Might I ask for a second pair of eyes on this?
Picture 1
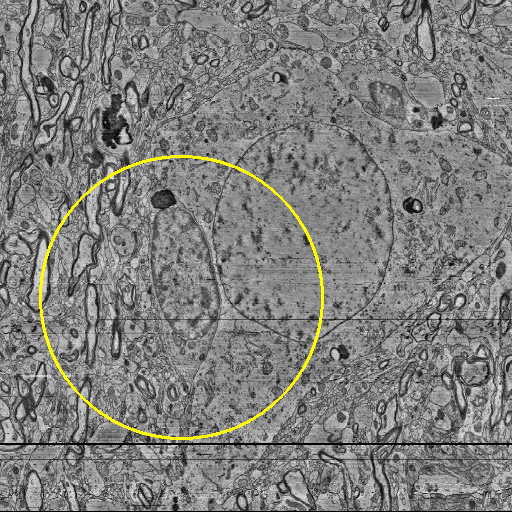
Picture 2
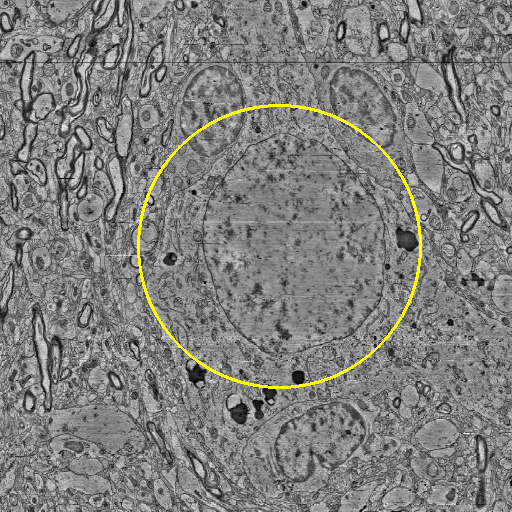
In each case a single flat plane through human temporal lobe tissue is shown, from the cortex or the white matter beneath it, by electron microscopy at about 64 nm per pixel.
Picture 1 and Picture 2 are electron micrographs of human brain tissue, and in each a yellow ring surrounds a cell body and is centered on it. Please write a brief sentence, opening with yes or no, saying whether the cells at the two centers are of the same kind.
No, the cells are of two kinds.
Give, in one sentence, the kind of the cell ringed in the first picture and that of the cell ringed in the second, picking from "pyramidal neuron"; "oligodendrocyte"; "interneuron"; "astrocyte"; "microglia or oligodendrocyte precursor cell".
For the first picture it is an oligodendrocyte; for the second, a pyramidal neuron.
